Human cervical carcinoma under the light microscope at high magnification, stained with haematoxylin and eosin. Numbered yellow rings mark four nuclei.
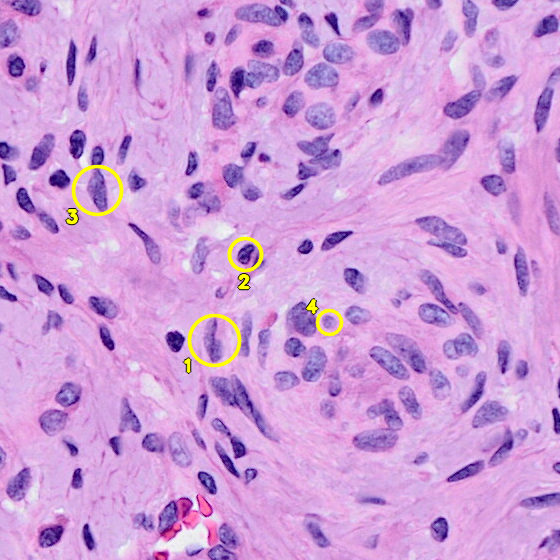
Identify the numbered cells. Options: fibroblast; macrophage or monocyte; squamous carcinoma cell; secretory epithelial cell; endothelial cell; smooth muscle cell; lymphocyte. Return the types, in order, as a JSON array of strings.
["fibroblast", "lymphocyte", "fibroblast", "smooth muscle cell"]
